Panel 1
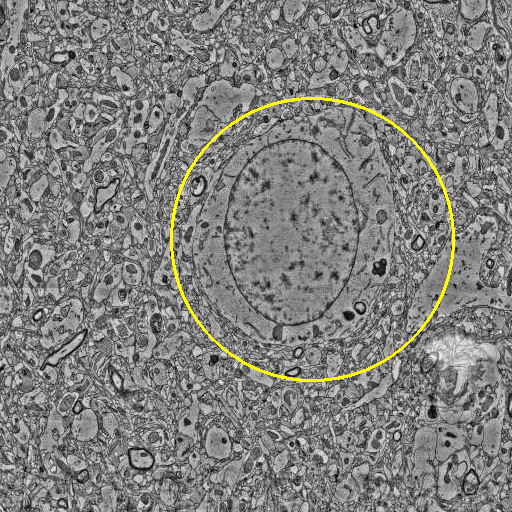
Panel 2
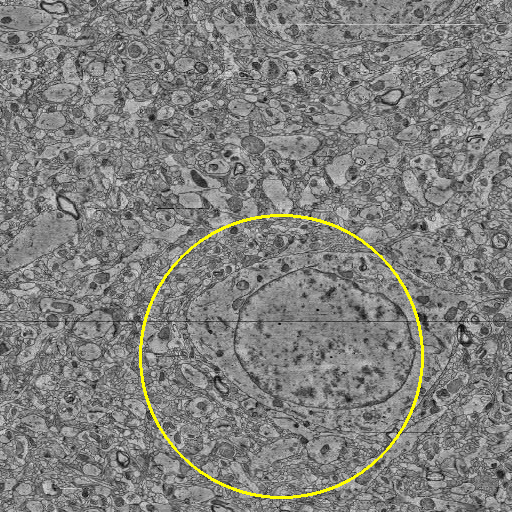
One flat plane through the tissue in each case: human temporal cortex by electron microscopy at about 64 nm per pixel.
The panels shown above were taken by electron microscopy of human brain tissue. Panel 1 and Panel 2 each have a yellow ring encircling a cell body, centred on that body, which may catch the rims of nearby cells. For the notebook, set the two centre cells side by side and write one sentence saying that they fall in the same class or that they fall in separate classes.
The centred cells of Panel 1 and Panel 2 fall in the same class.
